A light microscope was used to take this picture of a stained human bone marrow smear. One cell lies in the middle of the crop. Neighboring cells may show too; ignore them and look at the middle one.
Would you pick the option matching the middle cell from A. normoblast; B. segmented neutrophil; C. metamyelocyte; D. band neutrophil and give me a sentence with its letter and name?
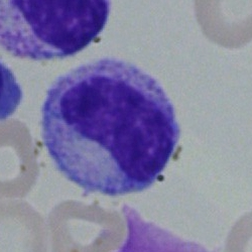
The best answer is option C, since the cell in the middle is a metamyelocyte.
